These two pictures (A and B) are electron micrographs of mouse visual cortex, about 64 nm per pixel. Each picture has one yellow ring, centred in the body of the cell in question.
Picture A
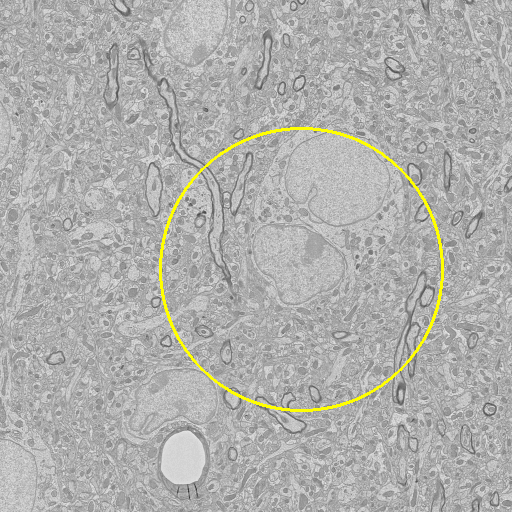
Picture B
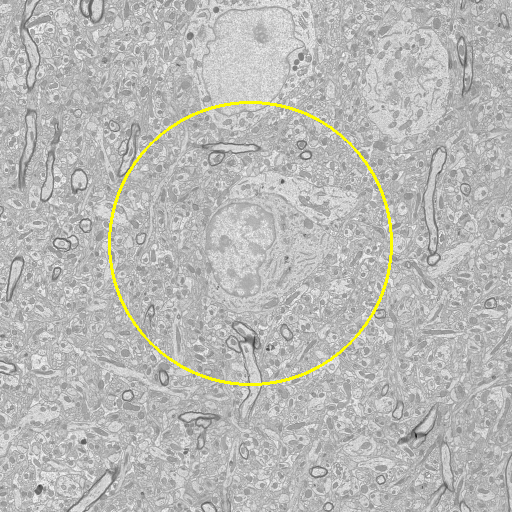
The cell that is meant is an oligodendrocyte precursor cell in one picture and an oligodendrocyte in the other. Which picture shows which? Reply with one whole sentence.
Picture A is of an oligodendrocyte precursor cell, and picture B is of an oligodendrocyte.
